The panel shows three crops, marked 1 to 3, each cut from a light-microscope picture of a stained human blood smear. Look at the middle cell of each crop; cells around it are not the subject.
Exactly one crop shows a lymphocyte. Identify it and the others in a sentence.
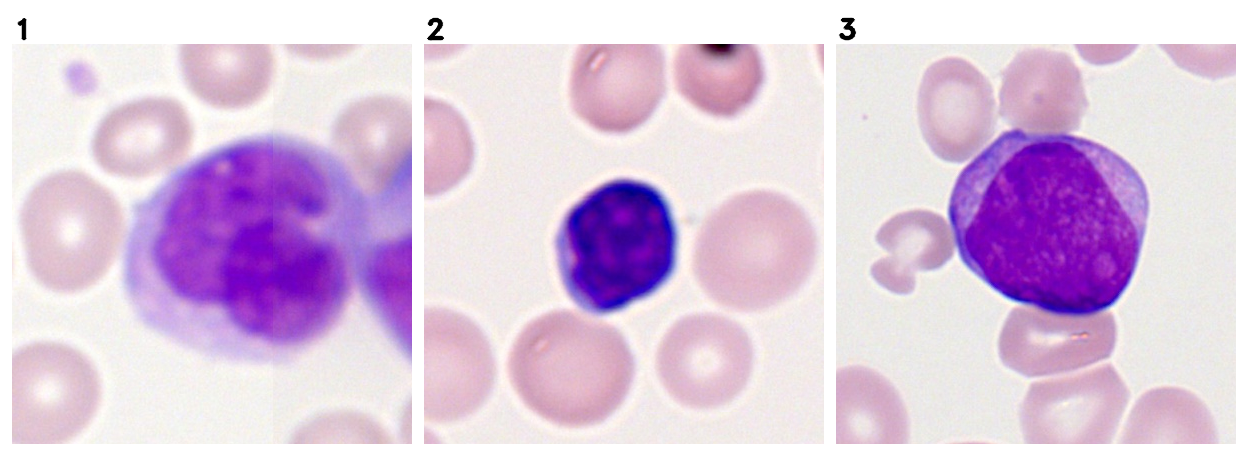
Crop 2 comes out as a lymphocyte, while crop 1 is a monocyte and crop 3 is a blast.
